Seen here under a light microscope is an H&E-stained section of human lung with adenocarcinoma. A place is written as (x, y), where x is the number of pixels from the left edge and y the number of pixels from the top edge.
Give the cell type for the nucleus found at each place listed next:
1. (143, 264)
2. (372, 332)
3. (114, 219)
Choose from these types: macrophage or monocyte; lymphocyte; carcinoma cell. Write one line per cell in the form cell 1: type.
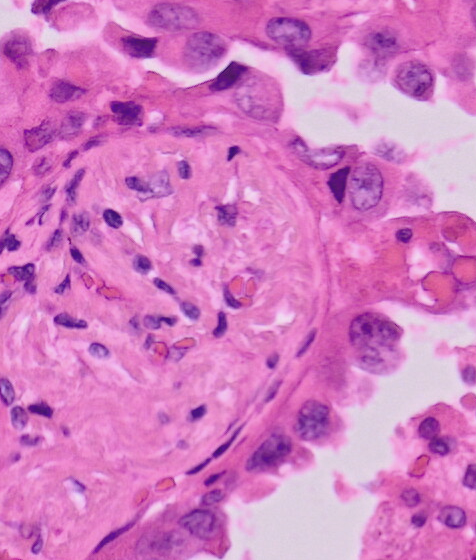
cell 1: lymphocyte
cell 2: carcinoma cell
cell 3: lymphocyte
